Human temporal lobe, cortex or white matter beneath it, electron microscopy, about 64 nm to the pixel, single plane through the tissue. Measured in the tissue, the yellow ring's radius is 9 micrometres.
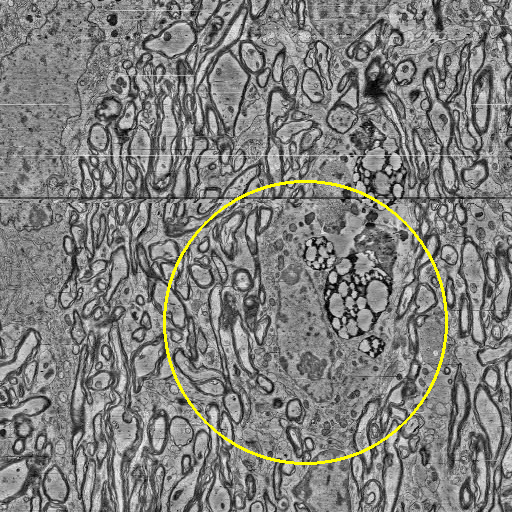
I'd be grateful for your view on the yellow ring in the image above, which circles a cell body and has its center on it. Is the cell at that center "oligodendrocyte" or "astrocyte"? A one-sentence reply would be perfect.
The cell at the center of the yellow ring is an astrocyte.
